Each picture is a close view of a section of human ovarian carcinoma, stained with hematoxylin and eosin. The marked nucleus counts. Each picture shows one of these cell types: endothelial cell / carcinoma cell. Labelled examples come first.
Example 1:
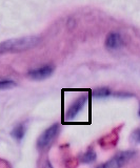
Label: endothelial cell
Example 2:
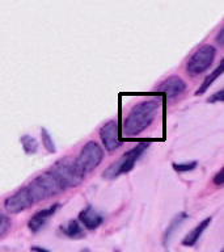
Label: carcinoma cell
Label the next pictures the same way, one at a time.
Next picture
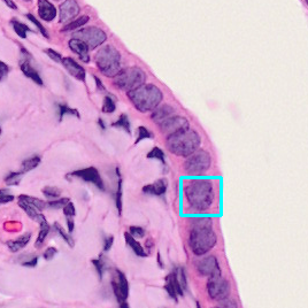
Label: carcinoma cell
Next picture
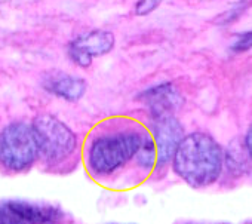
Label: carcinoma cell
